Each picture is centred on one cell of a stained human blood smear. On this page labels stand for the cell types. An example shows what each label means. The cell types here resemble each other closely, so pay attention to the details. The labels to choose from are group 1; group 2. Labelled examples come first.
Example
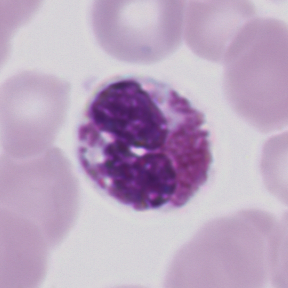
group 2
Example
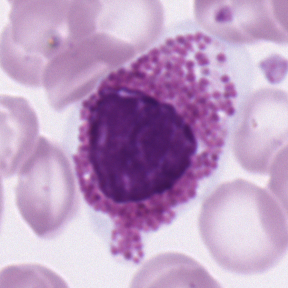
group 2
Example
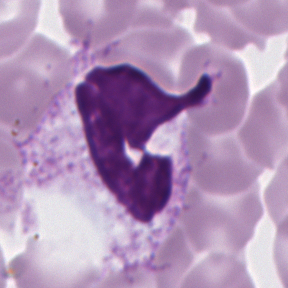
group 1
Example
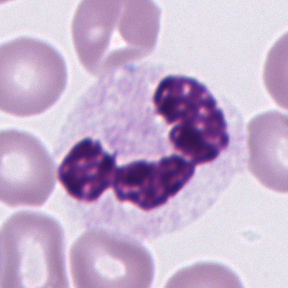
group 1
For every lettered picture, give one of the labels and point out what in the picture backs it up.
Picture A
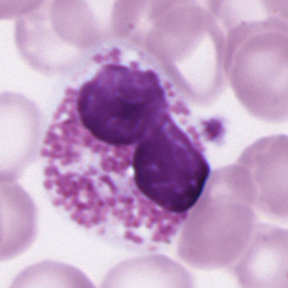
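Label: group 2. The granules are coarse and of fairly even size.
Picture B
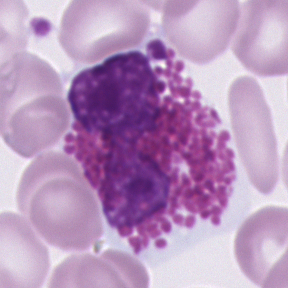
Label: group 2. The granules are coarse and of fairly even size.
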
